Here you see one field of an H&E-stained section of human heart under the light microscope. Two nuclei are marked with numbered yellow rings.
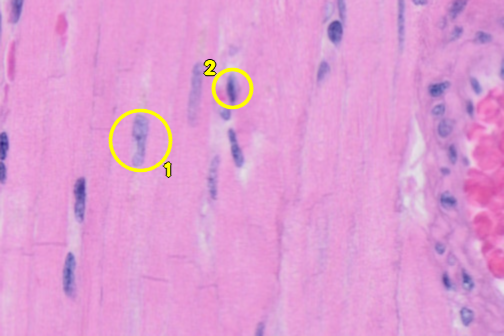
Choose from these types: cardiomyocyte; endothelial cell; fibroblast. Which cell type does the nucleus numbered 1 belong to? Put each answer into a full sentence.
The cell with the number 1 is a cardiomyocyte.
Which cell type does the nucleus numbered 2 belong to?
Here, the cell given the number 2 is a fibroblast.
